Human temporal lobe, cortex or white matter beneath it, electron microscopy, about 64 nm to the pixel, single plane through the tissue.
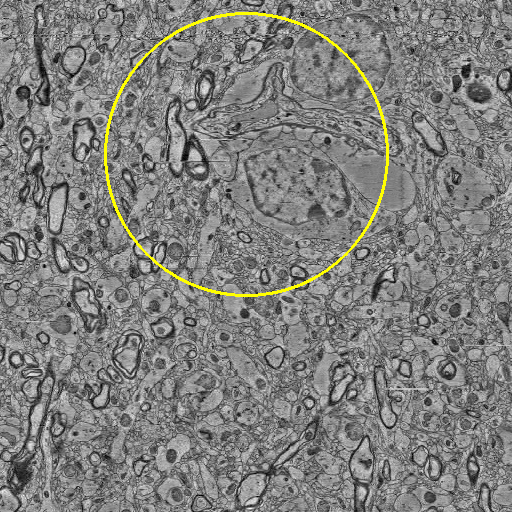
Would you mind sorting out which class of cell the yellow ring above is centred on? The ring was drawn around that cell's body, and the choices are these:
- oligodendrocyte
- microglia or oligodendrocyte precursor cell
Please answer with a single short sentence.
This is the cell body of a microglial cell or oligodendrocyte precursor cell.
